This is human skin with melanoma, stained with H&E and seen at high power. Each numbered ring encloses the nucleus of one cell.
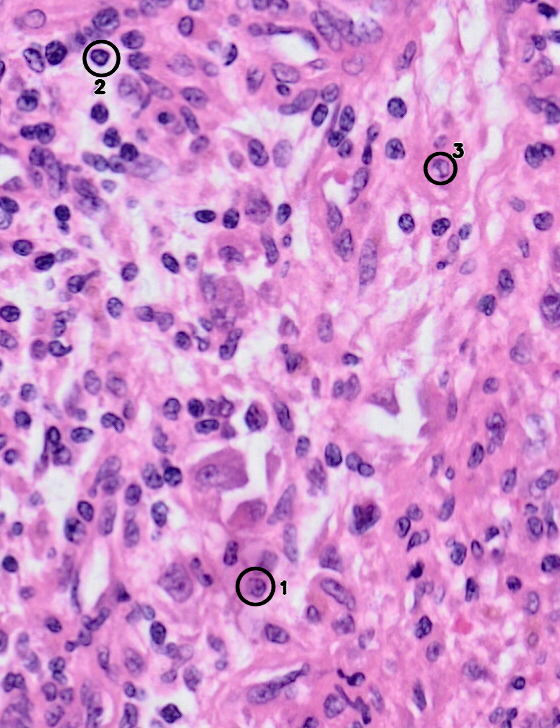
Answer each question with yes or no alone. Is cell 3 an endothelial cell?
yes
